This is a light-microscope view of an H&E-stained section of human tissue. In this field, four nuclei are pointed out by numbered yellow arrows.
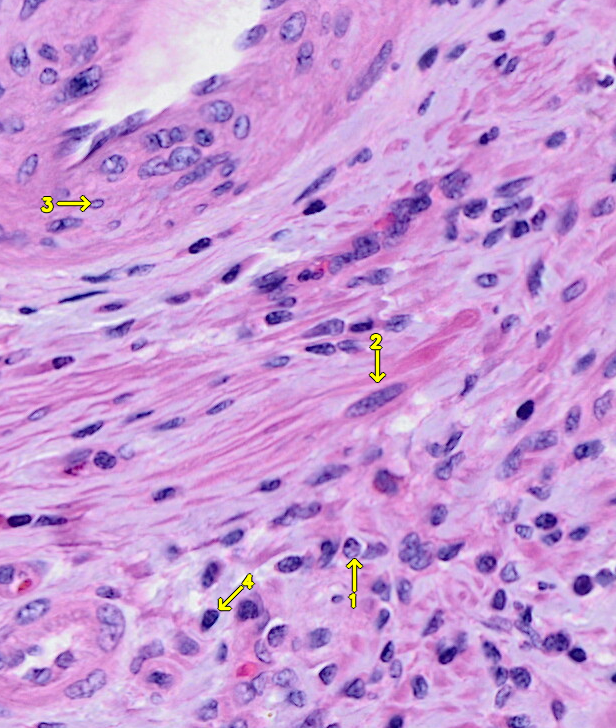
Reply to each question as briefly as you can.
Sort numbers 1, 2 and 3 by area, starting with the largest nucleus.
2, 1, 3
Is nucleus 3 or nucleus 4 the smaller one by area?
3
